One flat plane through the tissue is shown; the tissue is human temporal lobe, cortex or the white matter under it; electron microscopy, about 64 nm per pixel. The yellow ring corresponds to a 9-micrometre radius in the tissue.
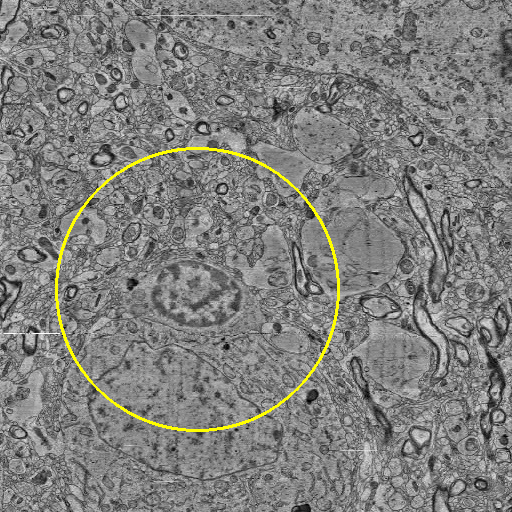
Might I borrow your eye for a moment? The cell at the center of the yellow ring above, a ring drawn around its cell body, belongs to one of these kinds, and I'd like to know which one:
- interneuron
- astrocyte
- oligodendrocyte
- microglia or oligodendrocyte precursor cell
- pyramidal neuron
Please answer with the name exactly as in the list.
oligodendrocyte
